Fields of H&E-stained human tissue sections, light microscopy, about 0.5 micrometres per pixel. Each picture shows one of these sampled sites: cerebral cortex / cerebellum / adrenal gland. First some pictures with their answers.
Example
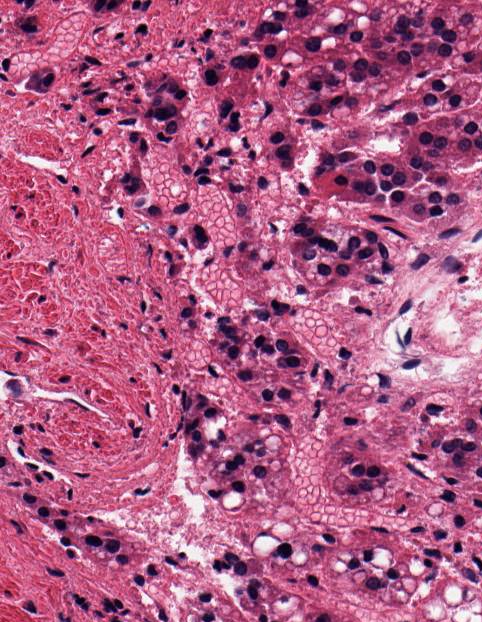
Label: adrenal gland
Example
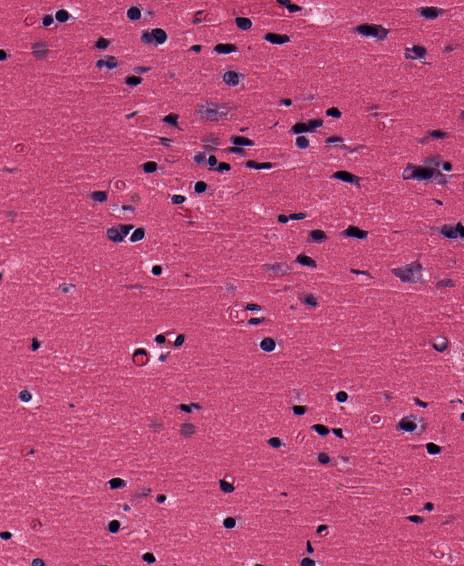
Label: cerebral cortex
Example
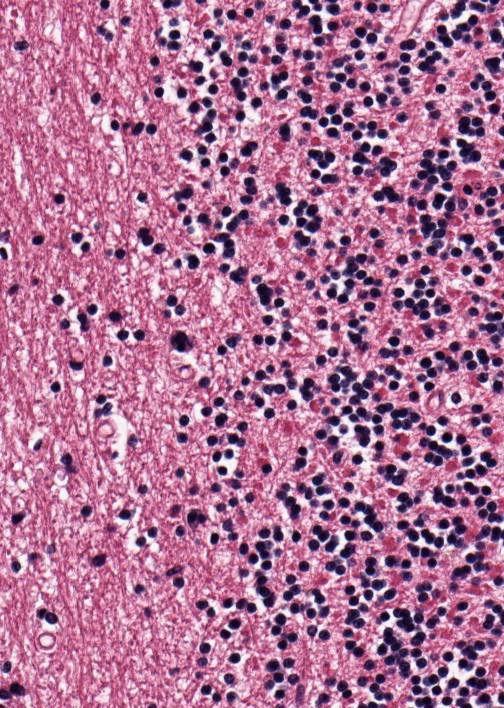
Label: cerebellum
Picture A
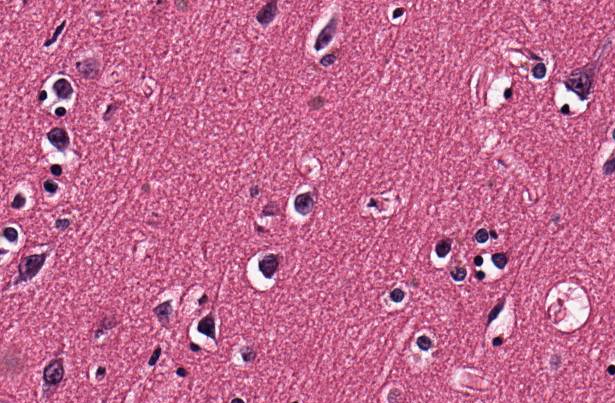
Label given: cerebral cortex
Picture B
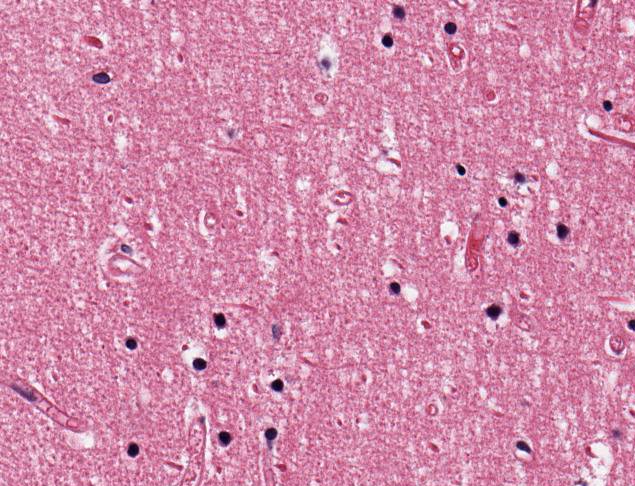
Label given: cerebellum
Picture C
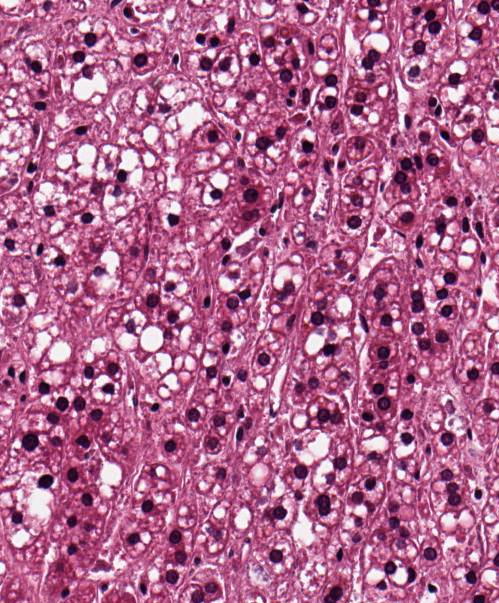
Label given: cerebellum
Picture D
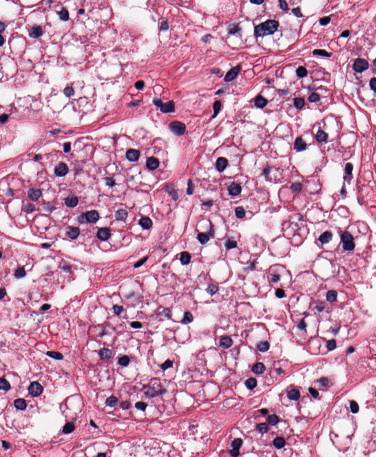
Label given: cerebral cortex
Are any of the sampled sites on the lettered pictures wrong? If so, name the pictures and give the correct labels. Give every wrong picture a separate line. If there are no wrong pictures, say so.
C should be adrenal gland, not cerebellum
D should be adrenal gland, not cerebral cortex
